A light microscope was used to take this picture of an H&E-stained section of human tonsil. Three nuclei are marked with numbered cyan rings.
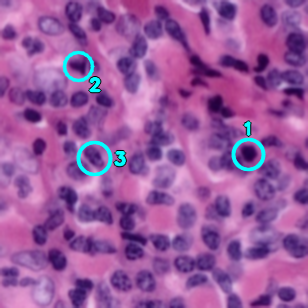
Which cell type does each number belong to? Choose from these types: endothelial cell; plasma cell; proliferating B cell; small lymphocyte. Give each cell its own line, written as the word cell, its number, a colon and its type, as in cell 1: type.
cell 1: plasma cell
cell 2: endothelial cell
cell 3: plasma cell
